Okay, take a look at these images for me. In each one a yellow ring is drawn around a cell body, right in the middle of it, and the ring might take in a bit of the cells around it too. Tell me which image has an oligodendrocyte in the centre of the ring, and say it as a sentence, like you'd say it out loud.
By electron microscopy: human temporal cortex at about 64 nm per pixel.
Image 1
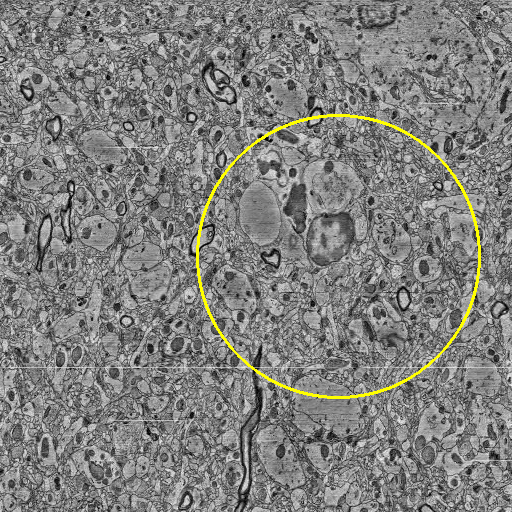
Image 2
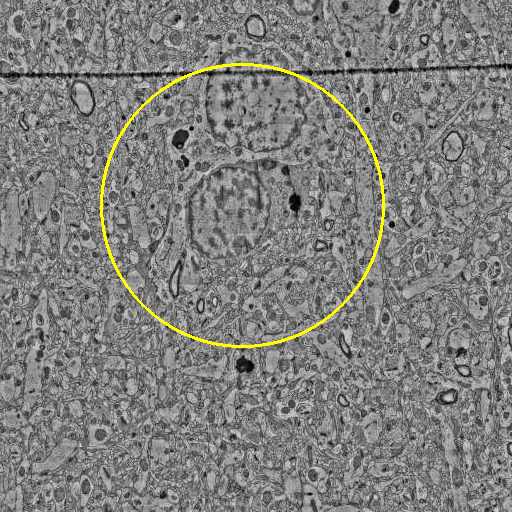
Image 2 is the one with it in the centre of the ring.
